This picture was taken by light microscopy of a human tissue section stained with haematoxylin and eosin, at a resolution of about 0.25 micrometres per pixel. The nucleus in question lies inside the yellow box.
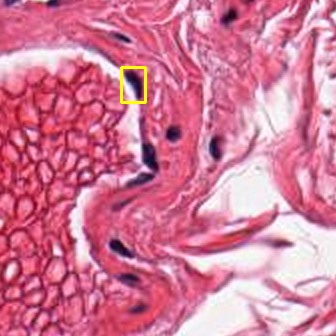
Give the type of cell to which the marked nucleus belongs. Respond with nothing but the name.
endothelial cell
